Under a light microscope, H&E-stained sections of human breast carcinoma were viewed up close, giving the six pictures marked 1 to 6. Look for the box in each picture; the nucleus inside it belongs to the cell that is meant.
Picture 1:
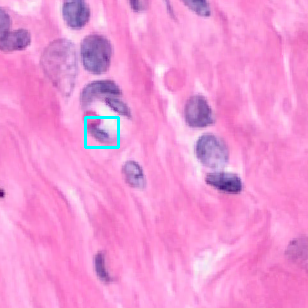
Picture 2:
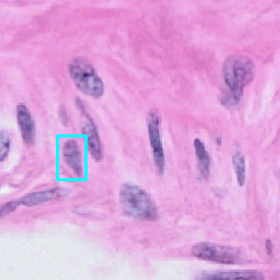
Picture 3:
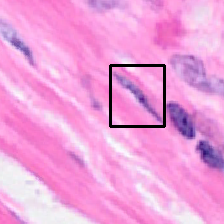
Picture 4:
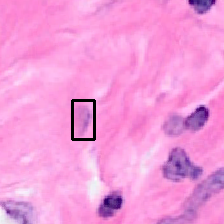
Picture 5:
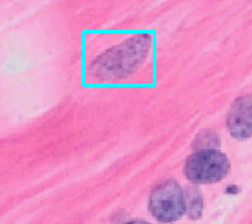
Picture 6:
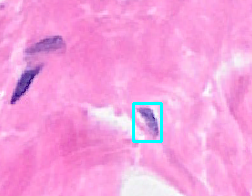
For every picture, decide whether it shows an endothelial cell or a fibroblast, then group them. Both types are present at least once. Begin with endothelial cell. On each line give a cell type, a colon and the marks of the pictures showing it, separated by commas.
endothelial cell: 1, 2
fibroblast: 3, 4, 5, 6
